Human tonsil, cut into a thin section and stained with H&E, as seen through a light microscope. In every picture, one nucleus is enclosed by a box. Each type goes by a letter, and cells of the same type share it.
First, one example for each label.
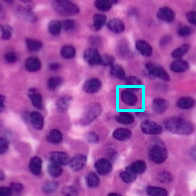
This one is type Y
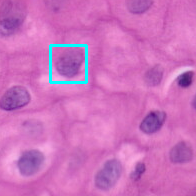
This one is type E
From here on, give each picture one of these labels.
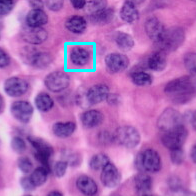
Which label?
type Y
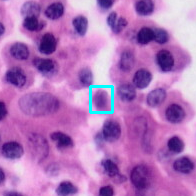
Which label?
type Y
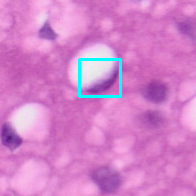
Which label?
type E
